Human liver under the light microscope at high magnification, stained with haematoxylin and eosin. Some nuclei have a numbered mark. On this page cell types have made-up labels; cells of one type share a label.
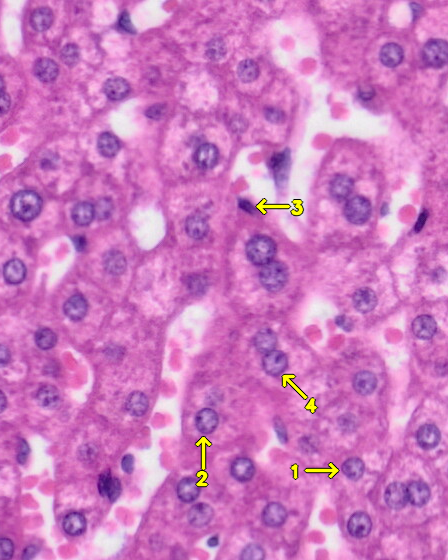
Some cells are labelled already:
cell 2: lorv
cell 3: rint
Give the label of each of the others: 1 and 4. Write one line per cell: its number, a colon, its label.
1: lorv
4: lorv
